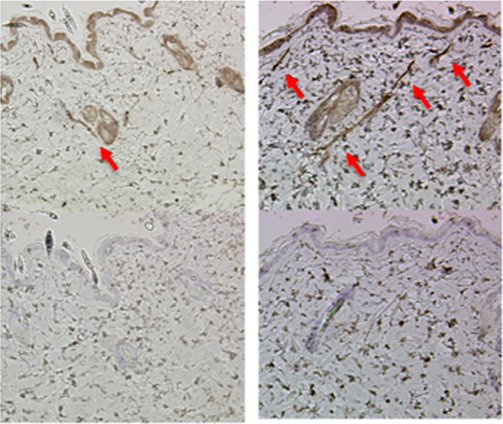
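These are sections of skin with a thin epidermis along the top edge and a loose dermis below it, scattered with small dark cells. In the upper two images, thin elongated brown cells run through the dermis, and the red arrows point to these spindle-shaped cells; in the right upper image several such cells are marked. Brown staining also outlines some rounded structures in the dermis. The lower two images show the same tissue without the brown spindle-shaped cells, the background staying pale.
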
